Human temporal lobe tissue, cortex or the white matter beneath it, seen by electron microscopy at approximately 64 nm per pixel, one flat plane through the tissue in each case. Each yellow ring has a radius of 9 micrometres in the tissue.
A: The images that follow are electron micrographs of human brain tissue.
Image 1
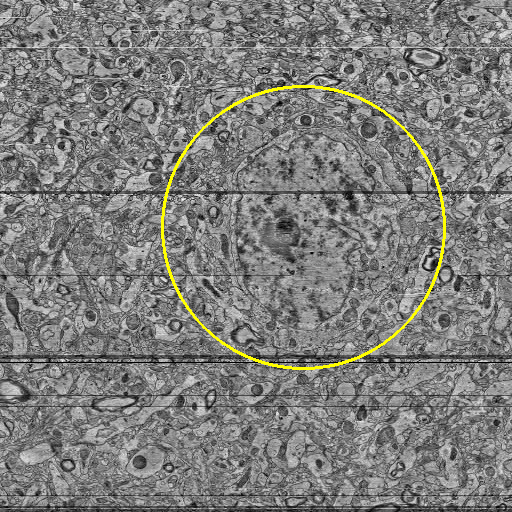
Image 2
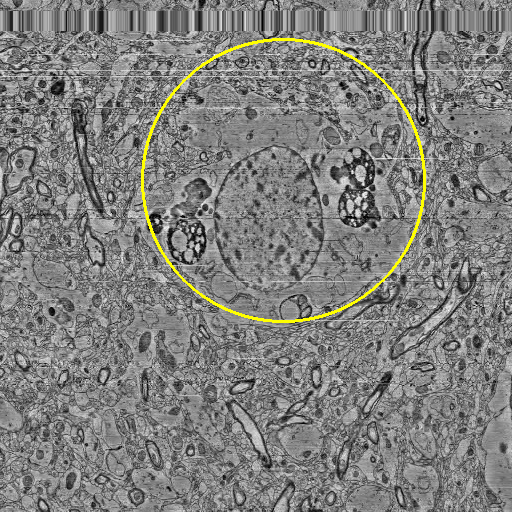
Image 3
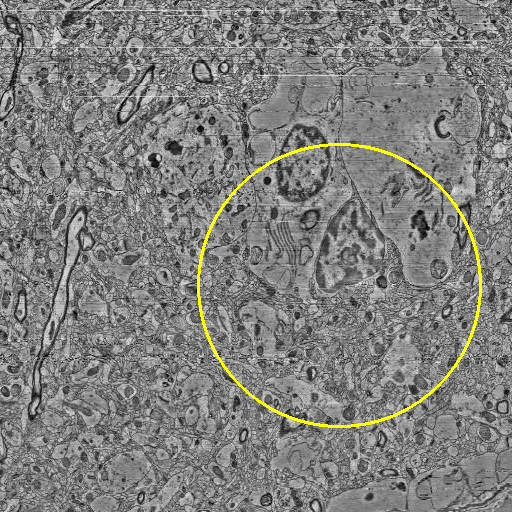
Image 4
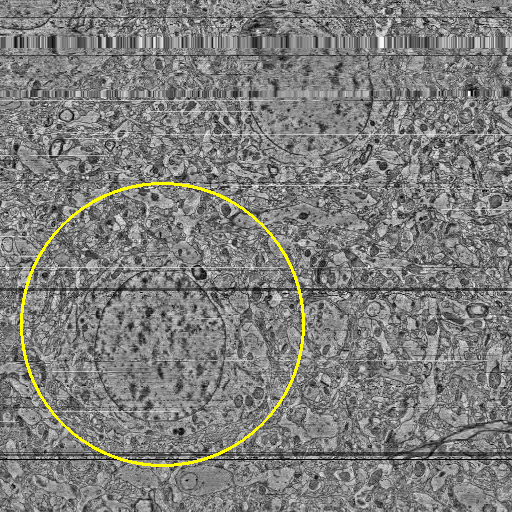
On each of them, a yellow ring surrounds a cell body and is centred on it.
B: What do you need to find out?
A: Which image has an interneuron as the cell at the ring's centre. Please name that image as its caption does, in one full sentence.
Image 1 is the one whose ring has the sought cell at its centre.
